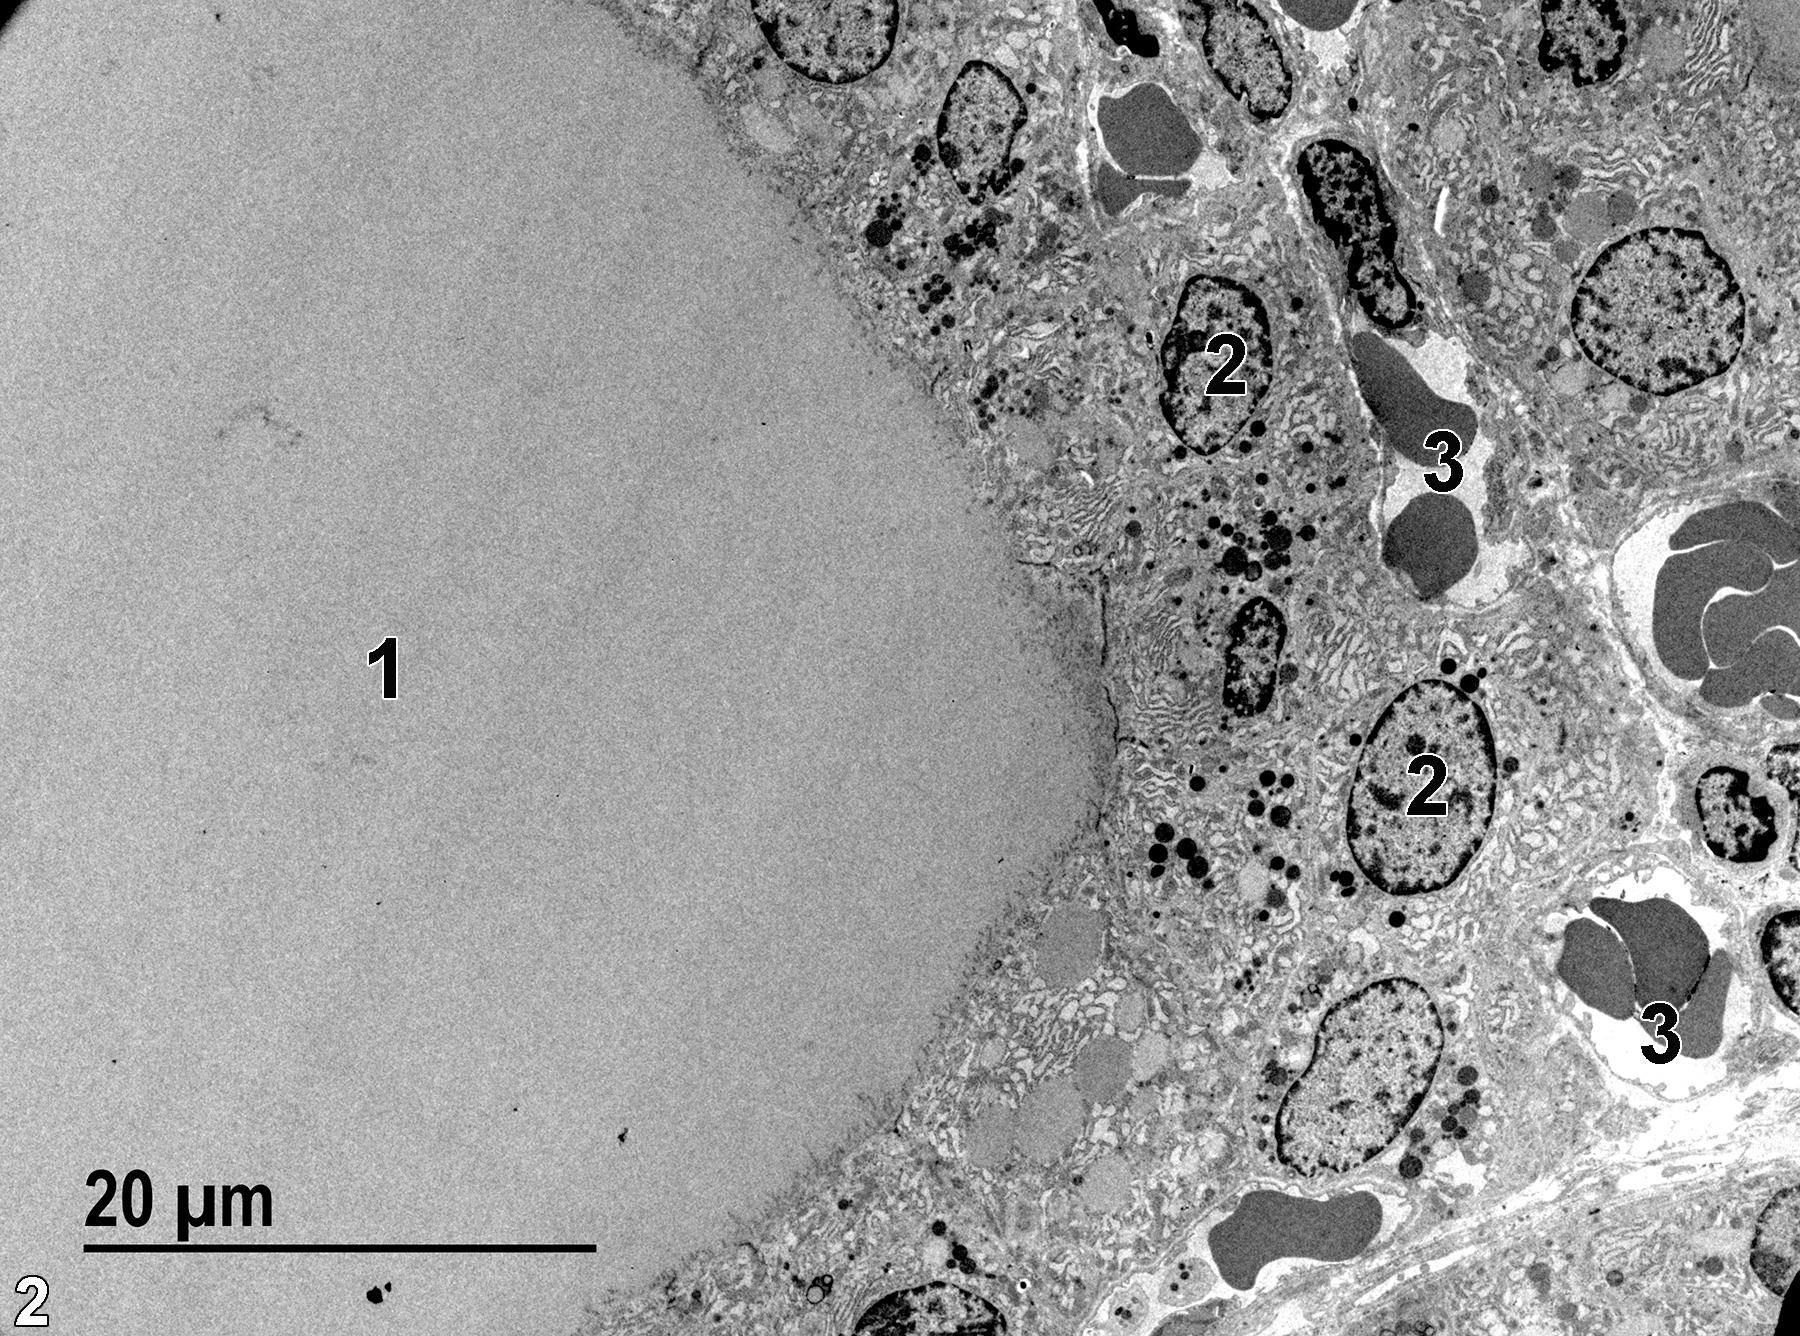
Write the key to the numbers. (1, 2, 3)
1. thyroid follicle
2. basal nuclei
3. capillaries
